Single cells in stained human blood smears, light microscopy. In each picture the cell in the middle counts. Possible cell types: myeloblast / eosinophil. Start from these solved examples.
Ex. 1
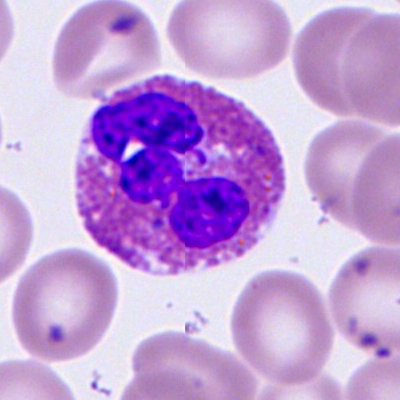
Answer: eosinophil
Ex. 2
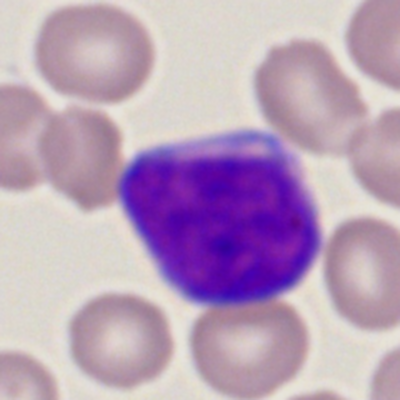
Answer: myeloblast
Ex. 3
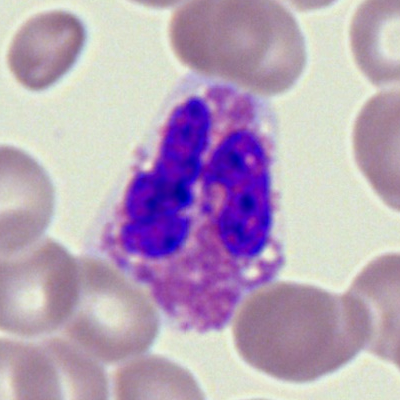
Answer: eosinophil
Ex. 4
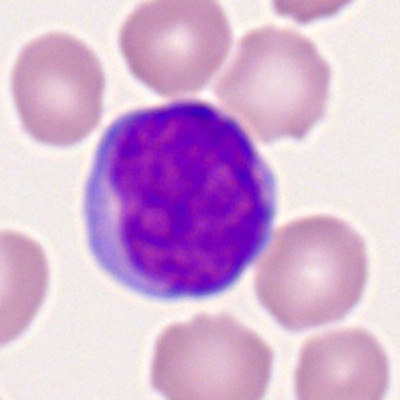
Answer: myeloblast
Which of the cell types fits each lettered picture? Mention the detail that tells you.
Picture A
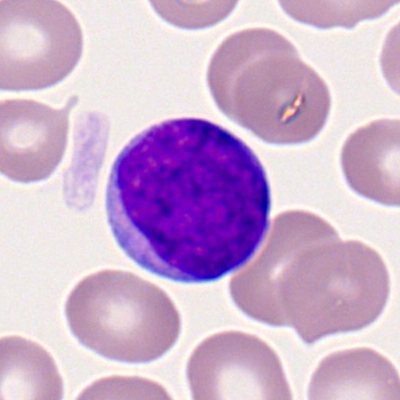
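myeloblast. Reason: The nucleus fills most of the cell.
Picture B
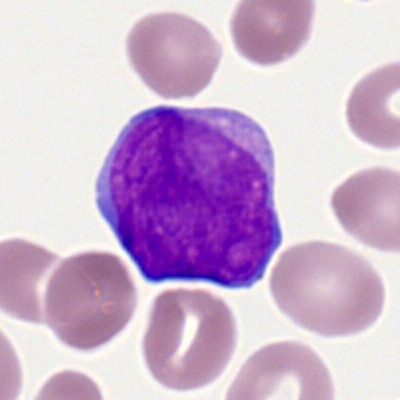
myeloblast. Reason: The nucleus fills most of the cell.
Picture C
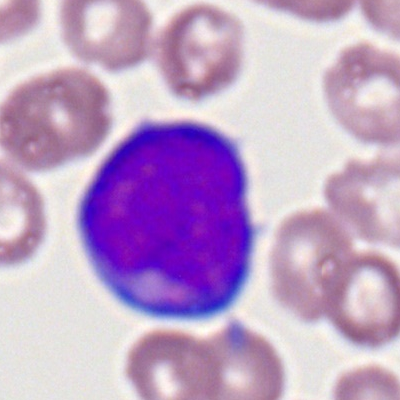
myeloblast. Reason: The cytoplasm forms only a thin rim around the nucleus.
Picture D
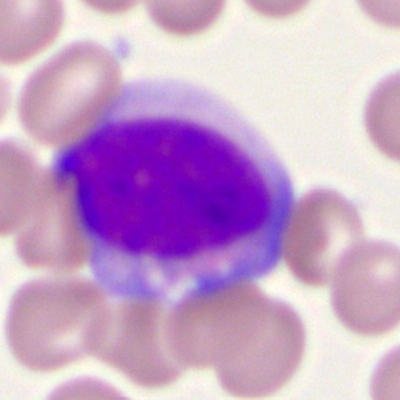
myeloblast. Reason: The nucleus fills most of the cell.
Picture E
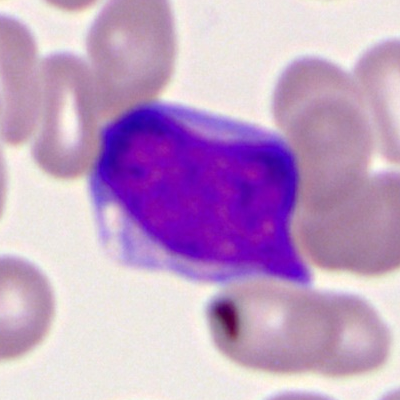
myeloblast. Reason: The nucleus fills most of the cell.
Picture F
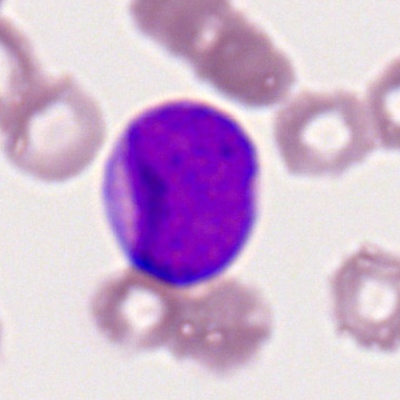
myeloblast. Reason: The nucleus fills most of the cell, leaving only scant cytoplasm.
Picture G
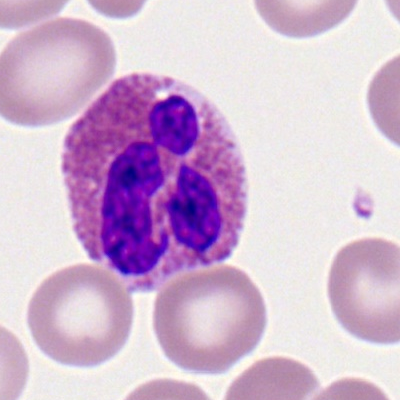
eosinophil. Reason: The cytoplasm is abundant and pale pinkish-lilac.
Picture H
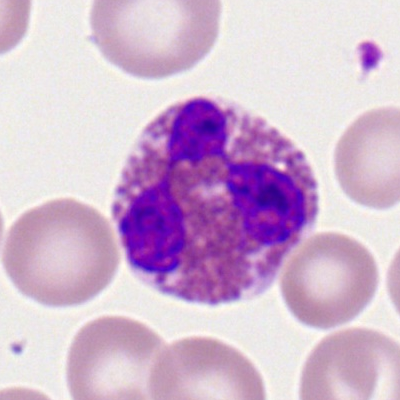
eosinophil. Reason: The cytoplasm is packed throughout with pink-violet granules.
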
